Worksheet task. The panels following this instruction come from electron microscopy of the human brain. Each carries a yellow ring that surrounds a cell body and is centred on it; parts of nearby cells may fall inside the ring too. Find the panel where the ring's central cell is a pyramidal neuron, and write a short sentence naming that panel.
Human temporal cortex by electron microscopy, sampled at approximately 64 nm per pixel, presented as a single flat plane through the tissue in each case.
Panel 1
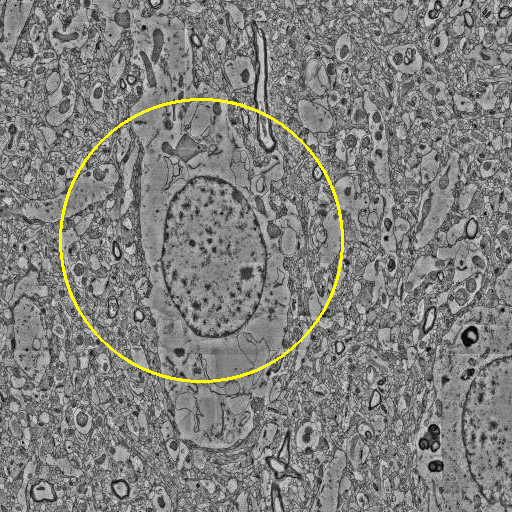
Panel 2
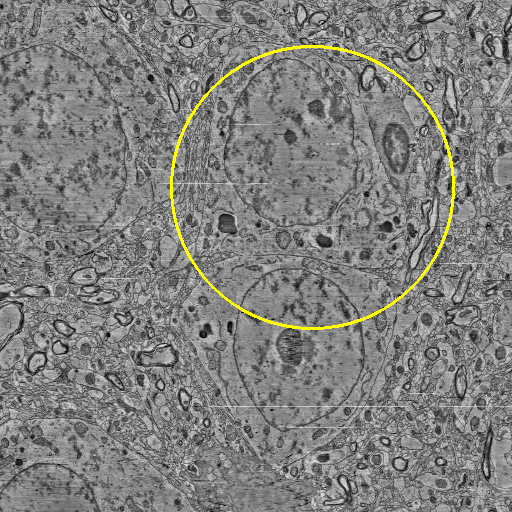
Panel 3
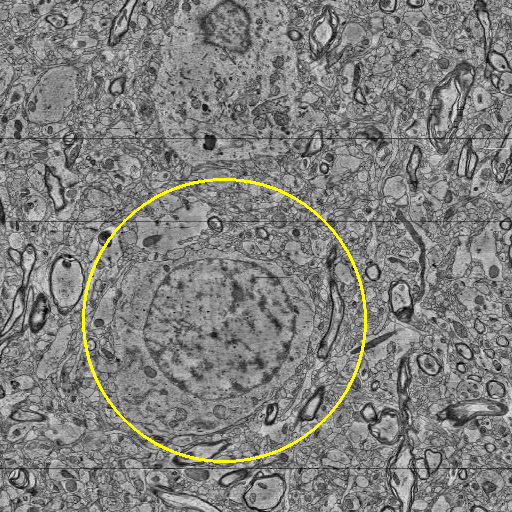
The cell sought is in Panel 2.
